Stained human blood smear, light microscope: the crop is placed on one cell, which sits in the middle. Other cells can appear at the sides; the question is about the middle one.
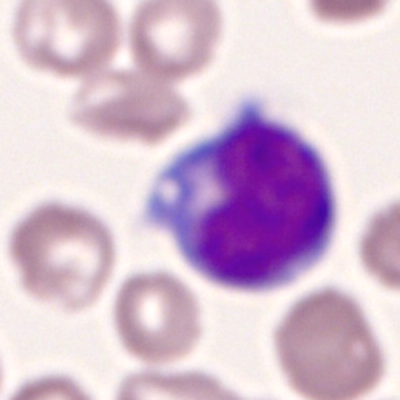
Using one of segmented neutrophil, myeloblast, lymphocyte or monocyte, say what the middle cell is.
monocyte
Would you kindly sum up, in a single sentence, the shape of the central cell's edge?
The cell is bounded by a ragged or projection-bearing margin rather than a smooth one.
